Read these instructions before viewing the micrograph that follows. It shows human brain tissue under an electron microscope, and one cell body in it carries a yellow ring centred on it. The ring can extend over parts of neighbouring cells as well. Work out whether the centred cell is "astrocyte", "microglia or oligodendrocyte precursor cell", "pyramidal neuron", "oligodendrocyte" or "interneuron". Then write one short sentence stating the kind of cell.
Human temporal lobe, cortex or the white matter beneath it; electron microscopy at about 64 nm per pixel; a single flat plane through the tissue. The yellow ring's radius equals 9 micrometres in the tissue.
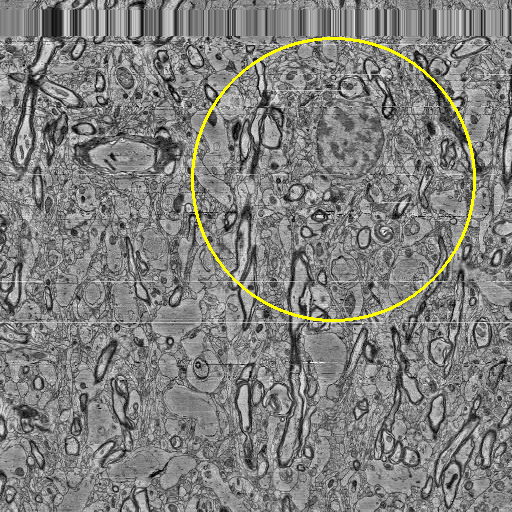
The ringed cell is an oligodendrocyte.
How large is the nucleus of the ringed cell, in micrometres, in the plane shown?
The nucleus is approximately 5 micrometers long by 4 micrometers wide in this plane.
